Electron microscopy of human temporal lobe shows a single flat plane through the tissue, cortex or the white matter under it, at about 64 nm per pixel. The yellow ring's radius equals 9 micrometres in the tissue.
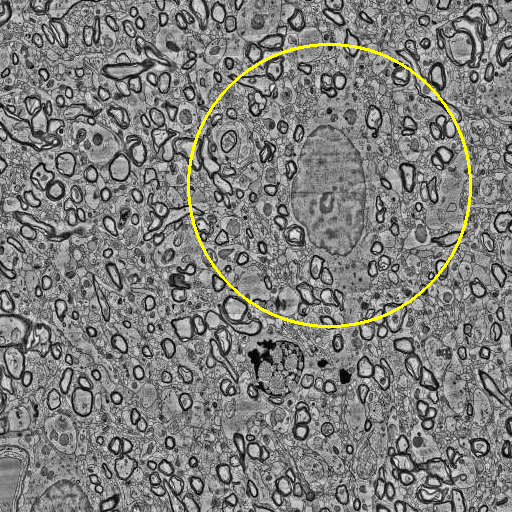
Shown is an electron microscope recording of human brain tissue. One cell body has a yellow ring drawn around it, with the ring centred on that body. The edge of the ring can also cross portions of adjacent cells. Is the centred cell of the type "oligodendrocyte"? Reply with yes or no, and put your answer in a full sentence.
Yes, in the picture, the cell on which the ring is centred has this type.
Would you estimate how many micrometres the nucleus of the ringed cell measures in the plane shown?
The nucleus is approximately 8 micrometres long but only about 5 wide, clearly longer than it is wide in this plane.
